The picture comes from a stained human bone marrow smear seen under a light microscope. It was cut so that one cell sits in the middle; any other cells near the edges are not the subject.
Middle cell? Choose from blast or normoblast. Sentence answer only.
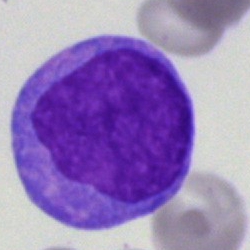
The middle of this crop holds a blast.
